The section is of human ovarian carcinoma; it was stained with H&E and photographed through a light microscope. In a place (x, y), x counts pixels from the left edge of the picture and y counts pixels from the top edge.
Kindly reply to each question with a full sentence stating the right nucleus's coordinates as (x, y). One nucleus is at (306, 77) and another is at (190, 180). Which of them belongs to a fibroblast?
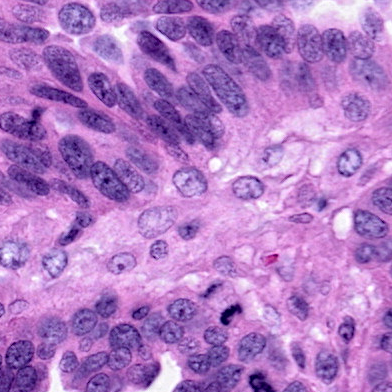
It is at (190, 180) that the nucleus of a fibroblast is found.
